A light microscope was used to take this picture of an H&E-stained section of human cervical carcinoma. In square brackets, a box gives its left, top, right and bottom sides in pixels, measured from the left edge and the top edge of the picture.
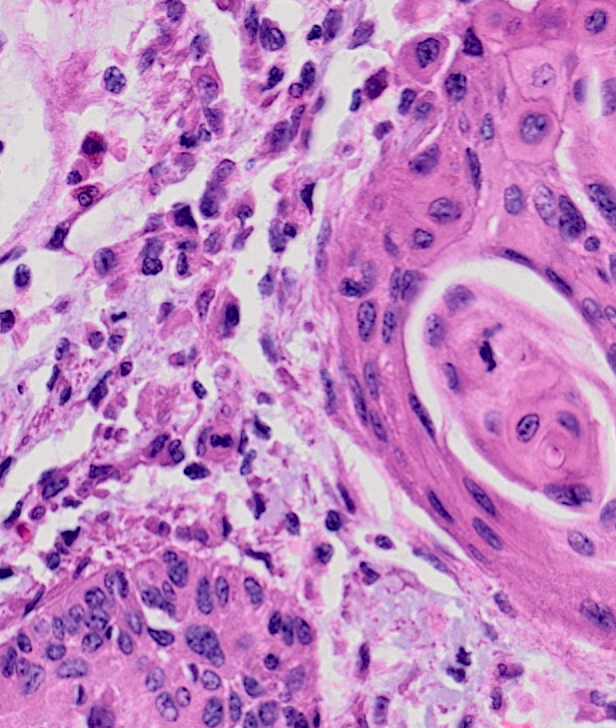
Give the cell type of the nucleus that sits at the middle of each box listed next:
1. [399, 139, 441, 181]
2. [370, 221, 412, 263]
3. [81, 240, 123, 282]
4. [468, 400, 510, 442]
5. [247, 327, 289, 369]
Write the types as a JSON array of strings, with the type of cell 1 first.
["squamous carcinoma cell", "squamous carcinoma cell", "macrophage or monocyte", "squamous carcinoma cell", "fibroblast"]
